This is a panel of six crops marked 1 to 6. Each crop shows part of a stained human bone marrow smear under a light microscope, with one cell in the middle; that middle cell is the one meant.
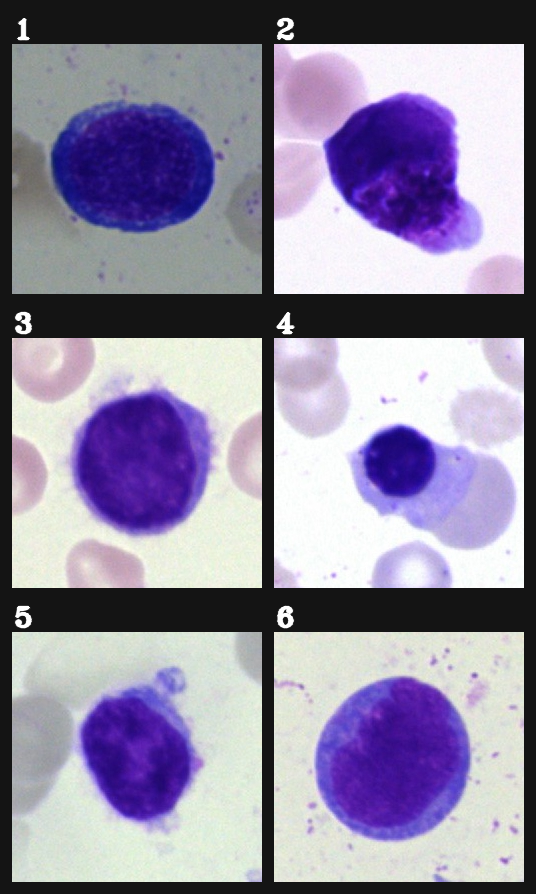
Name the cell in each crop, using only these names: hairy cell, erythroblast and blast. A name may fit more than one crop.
1: erythroblast
2: blast
3: hairy cell
4: erythroblast
5: hairy cell
6: blast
